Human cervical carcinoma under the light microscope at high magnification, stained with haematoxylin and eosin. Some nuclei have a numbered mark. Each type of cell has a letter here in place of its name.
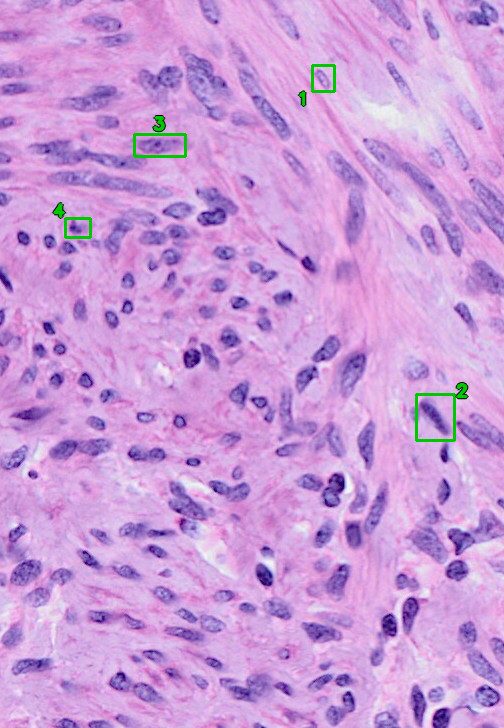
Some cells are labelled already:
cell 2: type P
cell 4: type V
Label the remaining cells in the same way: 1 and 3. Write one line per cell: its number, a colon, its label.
1: type V
3: type V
